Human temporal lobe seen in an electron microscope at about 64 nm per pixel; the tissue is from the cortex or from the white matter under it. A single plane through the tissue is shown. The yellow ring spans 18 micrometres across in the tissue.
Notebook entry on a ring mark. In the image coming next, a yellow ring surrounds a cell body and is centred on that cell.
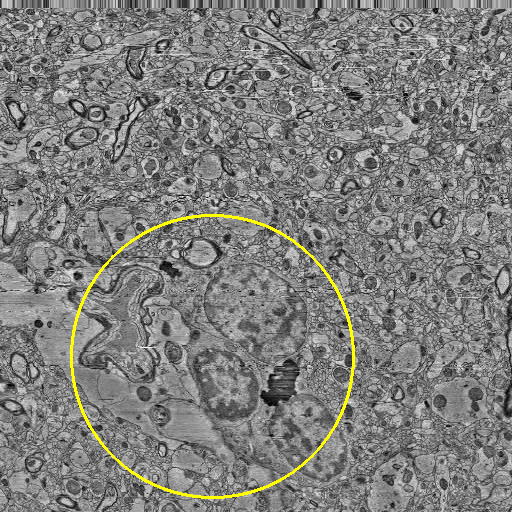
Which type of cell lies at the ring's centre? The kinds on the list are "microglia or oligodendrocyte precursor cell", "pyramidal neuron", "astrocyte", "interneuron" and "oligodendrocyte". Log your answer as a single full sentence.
Centred in the yellow ring is an oligodendrocyte, the cell recorded for this image.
